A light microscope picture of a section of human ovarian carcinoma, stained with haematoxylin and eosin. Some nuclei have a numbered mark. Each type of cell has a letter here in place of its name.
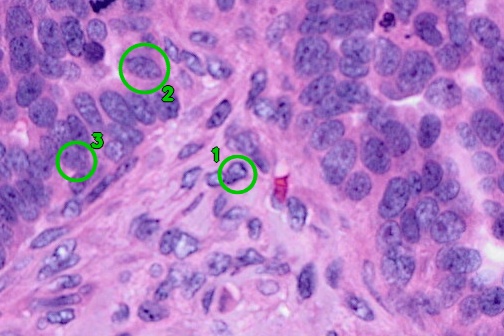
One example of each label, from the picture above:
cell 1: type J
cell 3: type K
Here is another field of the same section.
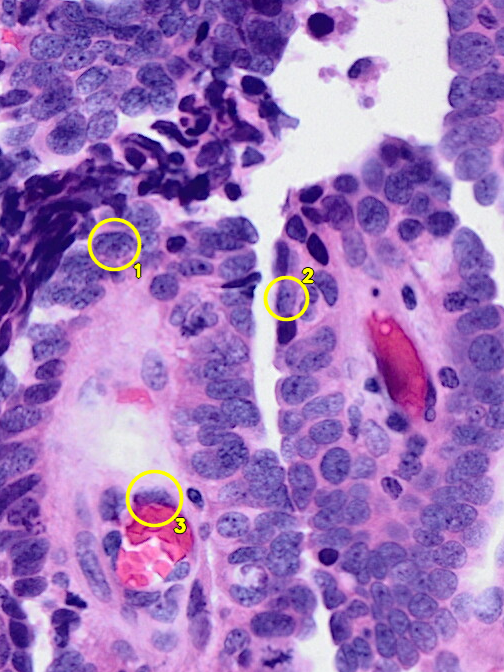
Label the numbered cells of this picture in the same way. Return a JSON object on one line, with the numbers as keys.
{"1": "type K", "2": "type K", "3": "type J"}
